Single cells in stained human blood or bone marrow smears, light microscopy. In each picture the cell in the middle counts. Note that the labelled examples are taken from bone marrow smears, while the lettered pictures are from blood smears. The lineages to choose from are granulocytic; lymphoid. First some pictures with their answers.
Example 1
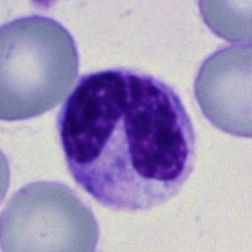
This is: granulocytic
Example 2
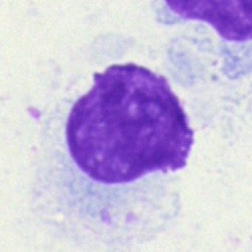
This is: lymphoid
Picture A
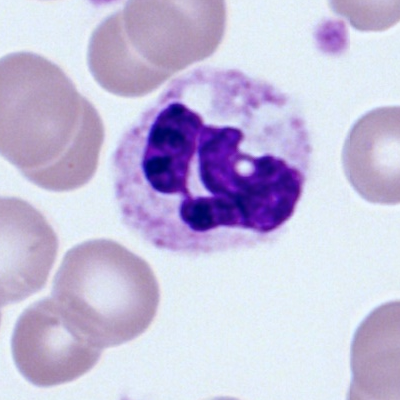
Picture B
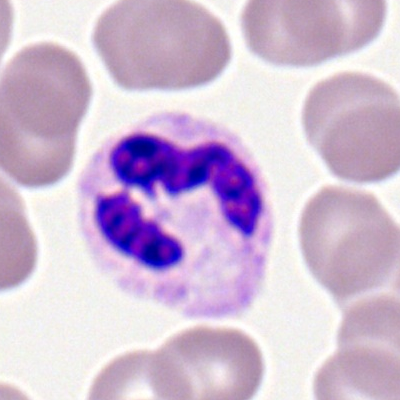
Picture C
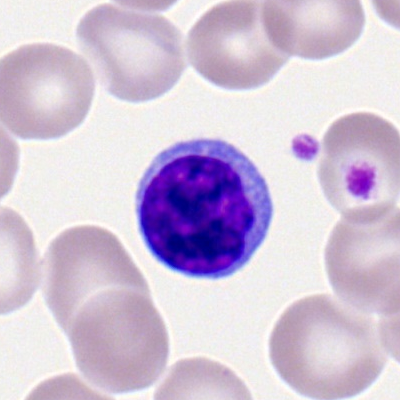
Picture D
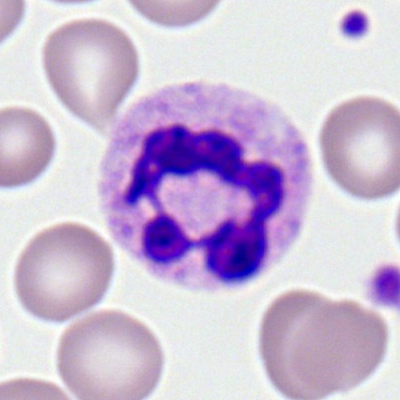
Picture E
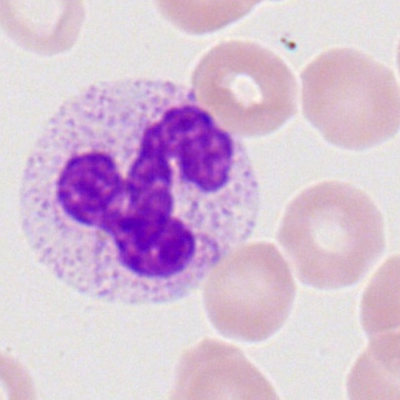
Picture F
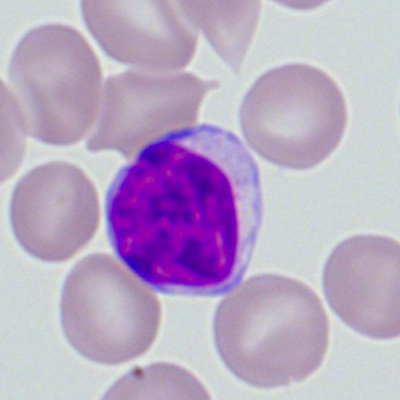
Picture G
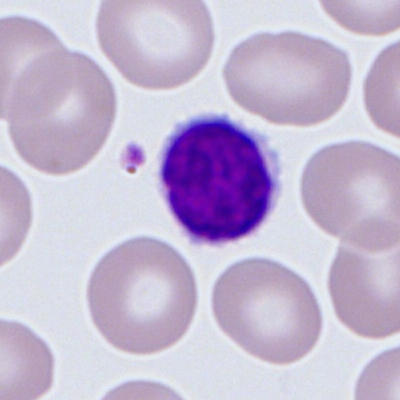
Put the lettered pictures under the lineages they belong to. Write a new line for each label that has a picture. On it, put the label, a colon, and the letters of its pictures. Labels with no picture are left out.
granulocytic: A, B, D, E
lymphoid: C, F, G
